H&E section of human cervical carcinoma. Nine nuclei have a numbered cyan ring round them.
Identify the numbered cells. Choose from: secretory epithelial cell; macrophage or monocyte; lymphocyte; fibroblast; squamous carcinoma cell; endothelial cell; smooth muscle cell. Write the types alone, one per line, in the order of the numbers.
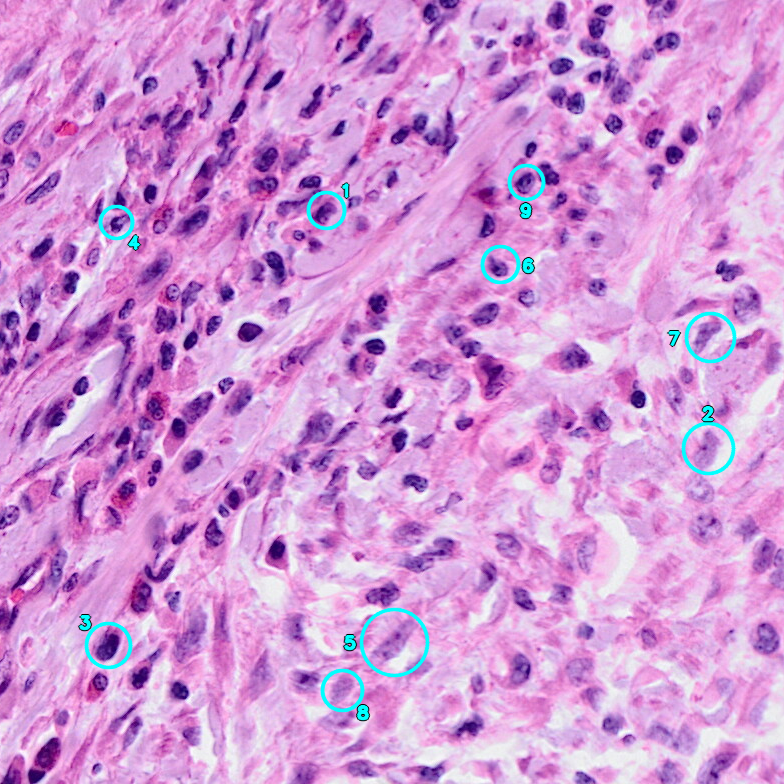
macrophage or monocyte
fibroblast
lymphocyte
lymphocyte
fibroblast
lymphocyte
fibroblast
fibroblast
lymphocyte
